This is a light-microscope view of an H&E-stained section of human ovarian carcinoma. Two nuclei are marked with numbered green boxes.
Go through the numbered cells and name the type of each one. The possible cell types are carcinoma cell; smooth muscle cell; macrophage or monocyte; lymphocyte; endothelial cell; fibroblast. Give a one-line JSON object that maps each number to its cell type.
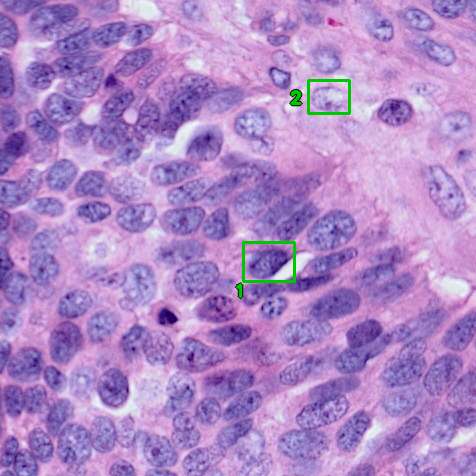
{"1": "carcinoma cell", "2": "fibroblast"}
